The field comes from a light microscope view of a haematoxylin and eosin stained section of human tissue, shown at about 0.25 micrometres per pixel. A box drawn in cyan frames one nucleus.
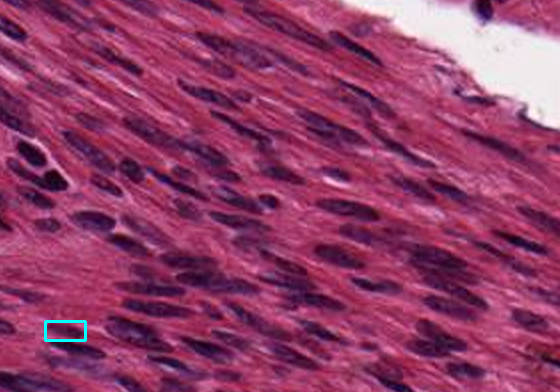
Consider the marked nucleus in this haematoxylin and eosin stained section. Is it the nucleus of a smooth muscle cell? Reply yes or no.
yes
